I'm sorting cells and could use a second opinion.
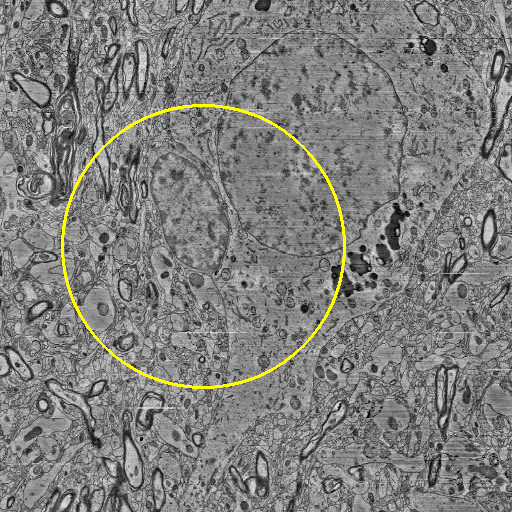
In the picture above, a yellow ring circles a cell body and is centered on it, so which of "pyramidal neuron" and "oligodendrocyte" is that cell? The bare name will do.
oligodendrocyte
